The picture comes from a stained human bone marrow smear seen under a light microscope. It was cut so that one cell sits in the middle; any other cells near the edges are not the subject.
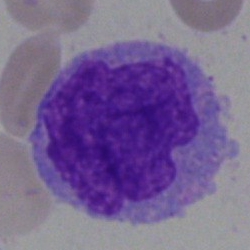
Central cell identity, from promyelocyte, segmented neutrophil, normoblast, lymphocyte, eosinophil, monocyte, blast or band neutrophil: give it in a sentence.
The target cell in the middle of the crop is a monocyte.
